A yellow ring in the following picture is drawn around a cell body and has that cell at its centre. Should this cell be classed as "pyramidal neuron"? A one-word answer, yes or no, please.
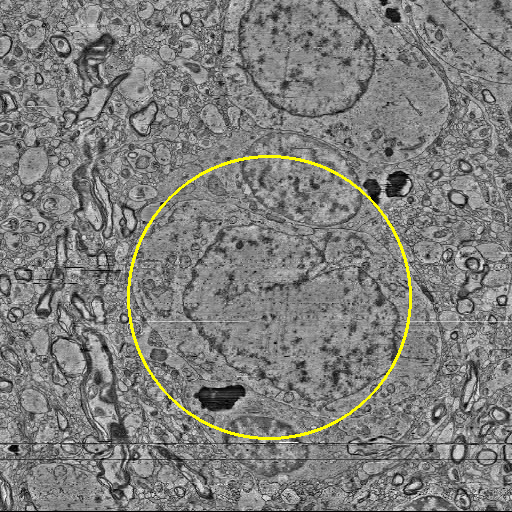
No, it is of another kind.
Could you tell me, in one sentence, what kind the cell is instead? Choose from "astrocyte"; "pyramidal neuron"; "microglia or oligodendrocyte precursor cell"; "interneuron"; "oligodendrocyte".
Instead, the cell inside the ring is an interneuron.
